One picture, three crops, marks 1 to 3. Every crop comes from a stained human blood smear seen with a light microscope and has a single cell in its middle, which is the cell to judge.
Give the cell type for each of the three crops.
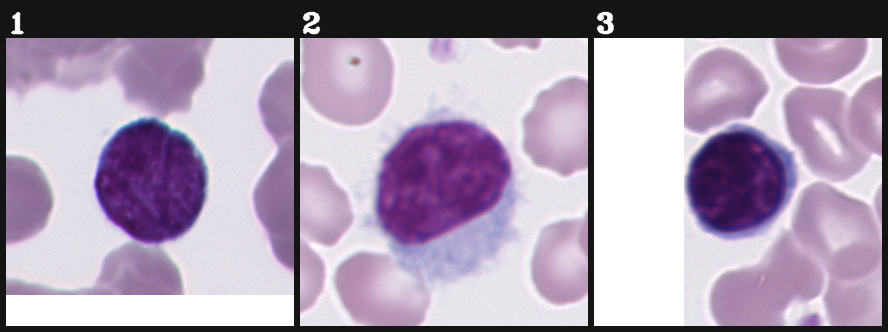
1: typical lymphocyte
2: hairy cell
3: typical lymphocyte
